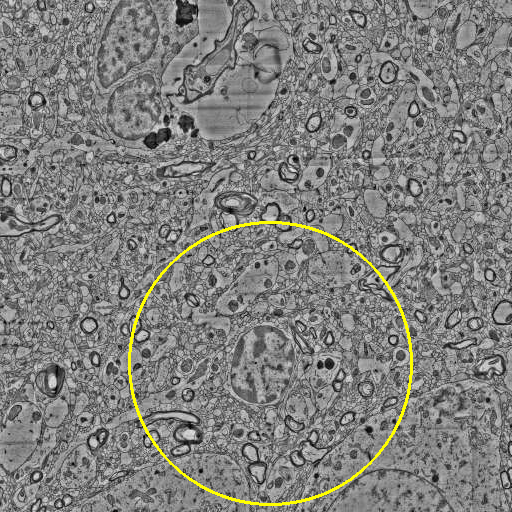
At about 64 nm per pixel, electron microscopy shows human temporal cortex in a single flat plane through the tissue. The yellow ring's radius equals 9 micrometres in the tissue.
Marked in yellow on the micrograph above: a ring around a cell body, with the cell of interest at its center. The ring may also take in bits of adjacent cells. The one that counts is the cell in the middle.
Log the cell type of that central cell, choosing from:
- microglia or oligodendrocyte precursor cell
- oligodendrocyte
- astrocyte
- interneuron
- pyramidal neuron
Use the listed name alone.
microglia or oligodendrocyte precursor cell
